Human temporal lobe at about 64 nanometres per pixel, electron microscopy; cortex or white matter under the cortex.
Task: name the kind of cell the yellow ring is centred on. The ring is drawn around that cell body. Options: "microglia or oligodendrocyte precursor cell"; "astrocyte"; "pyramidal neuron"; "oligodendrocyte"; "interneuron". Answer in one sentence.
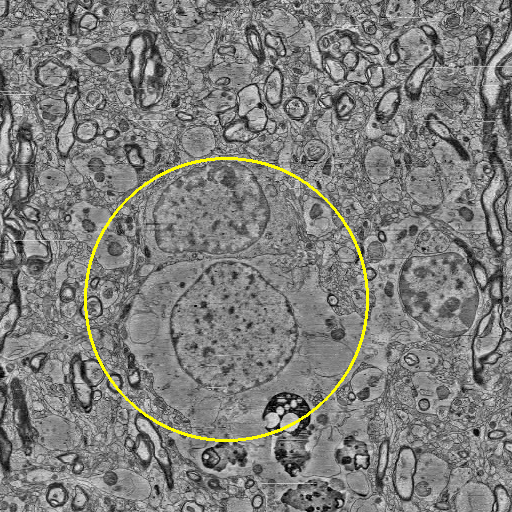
This cell body belongs to an astrocyte.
